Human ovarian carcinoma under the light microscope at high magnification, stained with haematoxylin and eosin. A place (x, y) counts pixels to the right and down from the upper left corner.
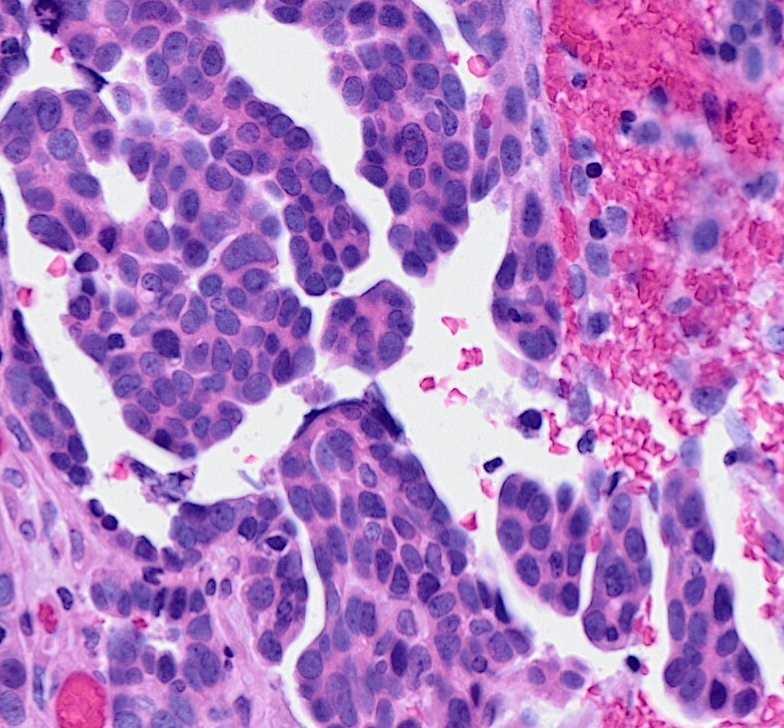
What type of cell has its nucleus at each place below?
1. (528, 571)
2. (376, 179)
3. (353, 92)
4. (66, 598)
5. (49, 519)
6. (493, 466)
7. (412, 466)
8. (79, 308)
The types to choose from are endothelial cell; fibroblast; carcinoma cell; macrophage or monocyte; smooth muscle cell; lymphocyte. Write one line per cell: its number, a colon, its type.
1: carcinoma cell
2: carcinoma cell
3: carcinoma cell
4: lymphocyte
5: fibroblast
6: lymphocyte
7: carcinoma cell
8: carcinoma cell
